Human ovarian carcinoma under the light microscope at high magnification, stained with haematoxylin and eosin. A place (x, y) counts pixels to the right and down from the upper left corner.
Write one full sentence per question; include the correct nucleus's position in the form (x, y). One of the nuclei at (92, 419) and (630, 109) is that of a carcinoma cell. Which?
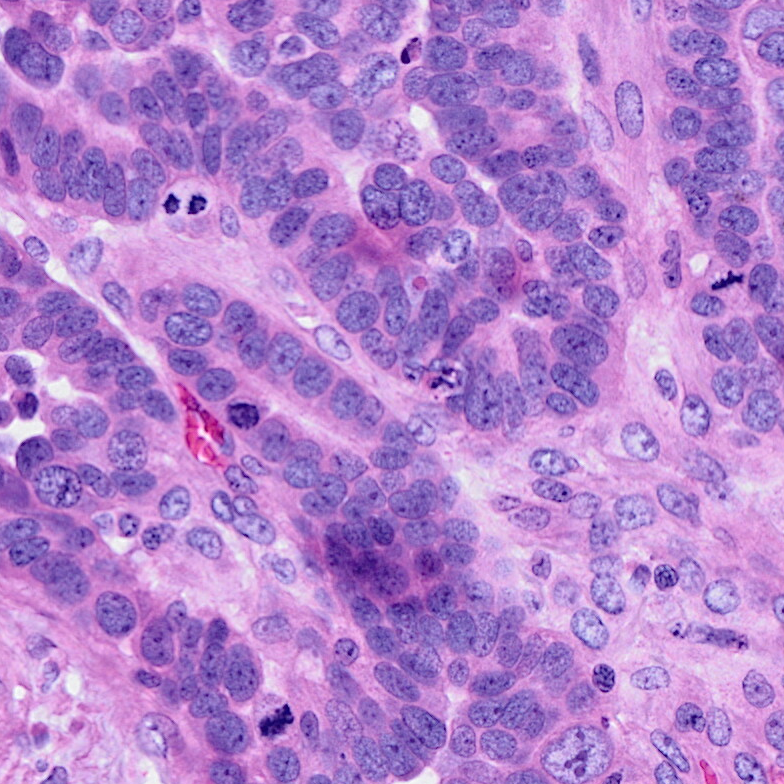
It is the nucleus at (92, 419) that forms part of a carcinoma cell.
